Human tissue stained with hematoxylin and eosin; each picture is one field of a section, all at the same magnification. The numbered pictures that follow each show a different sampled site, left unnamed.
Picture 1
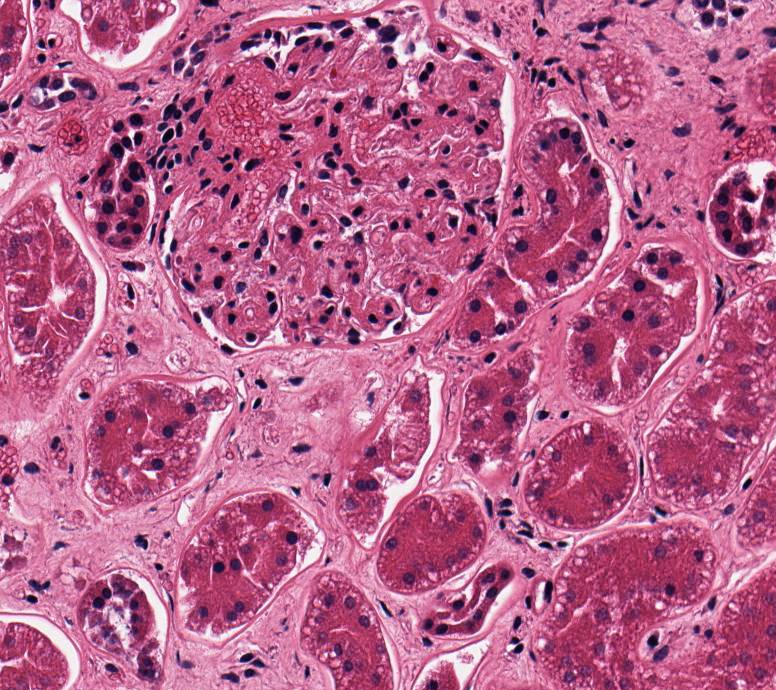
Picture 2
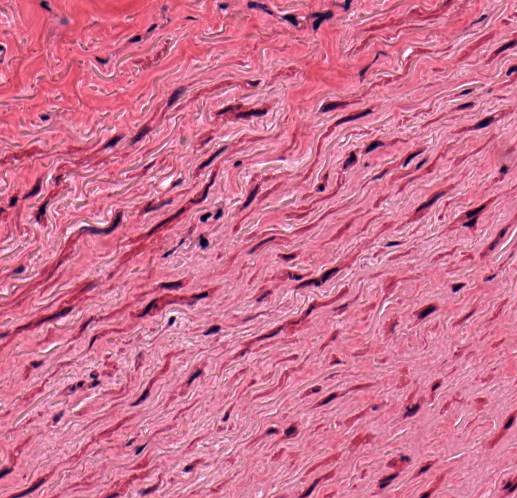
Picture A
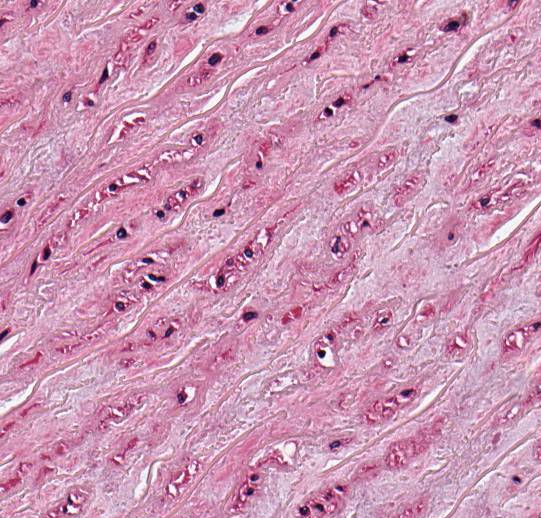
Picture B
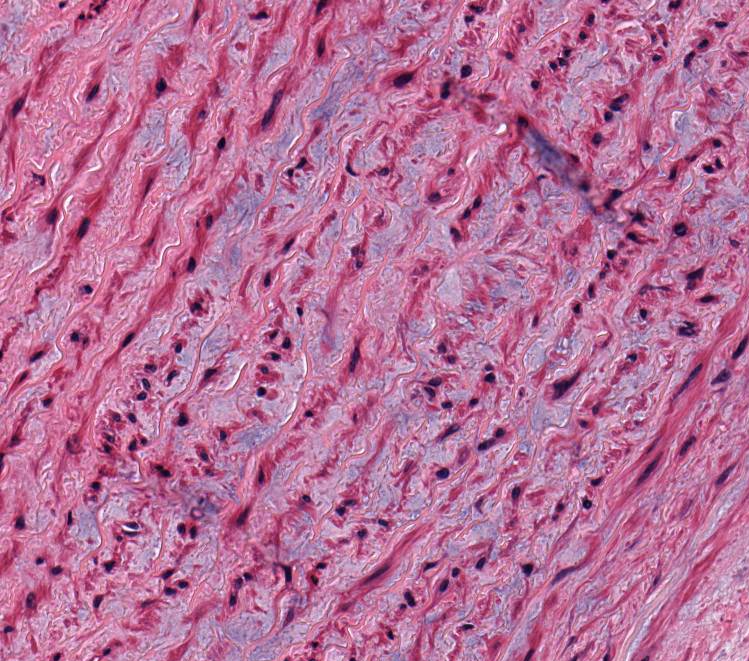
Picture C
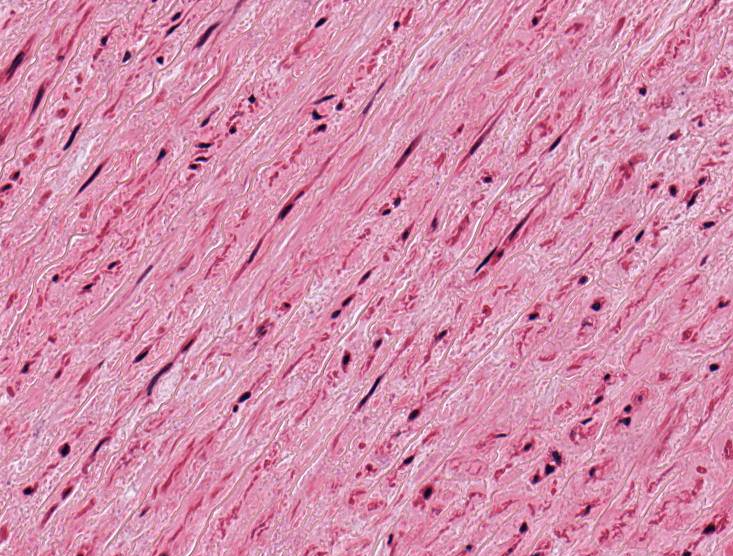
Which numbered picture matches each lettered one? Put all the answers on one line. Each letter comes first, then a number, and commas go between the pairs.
A 2, B 2, C 2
